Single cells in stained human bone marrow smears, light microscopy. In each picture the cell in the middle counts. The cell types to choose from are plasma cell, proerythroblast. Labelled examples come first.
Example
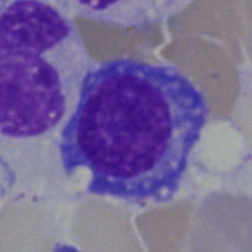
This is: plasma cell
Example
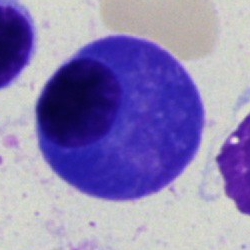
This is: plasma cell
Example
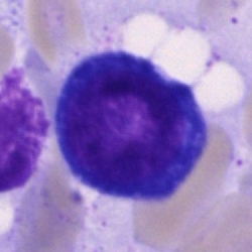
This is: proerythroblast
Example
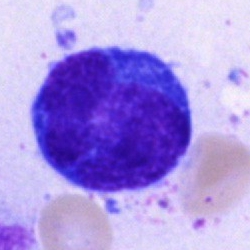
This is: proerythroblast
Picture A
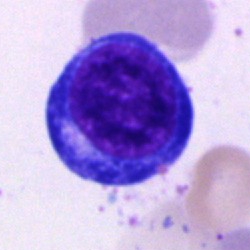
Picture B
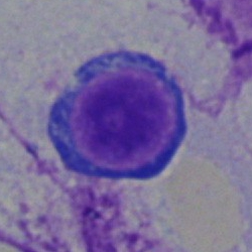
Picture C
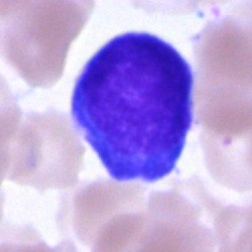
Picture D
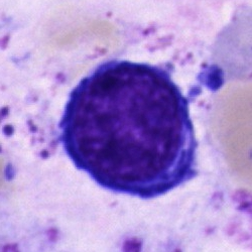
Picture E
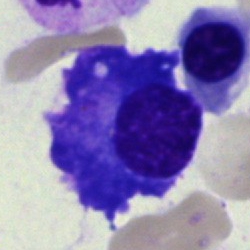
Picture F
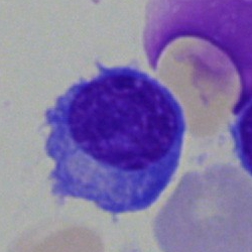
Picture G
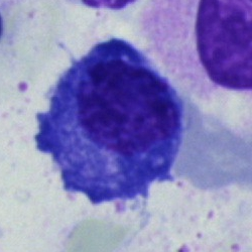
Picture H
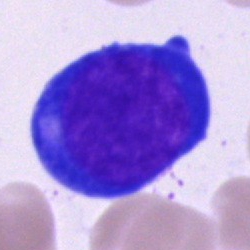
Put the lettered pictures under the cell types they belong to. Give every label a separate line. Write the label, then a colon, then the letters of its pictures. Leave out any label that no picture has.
plasma cell: E, F, G
proerythroblast: A, B, C, D, H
